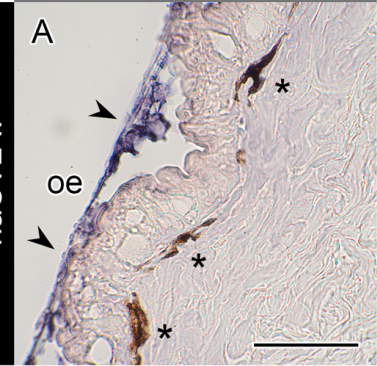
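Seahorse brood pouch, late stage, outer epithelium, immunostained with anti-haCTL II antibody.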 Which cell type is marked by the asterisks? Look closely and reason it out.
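Pigment cells. The asterisks mark dark brown, irregular cells lying under the epithelial layer.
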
